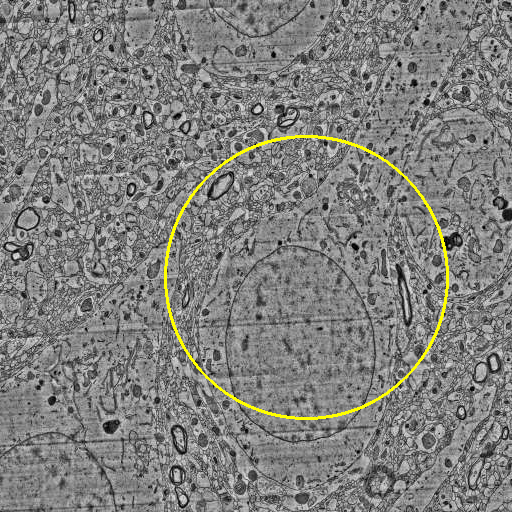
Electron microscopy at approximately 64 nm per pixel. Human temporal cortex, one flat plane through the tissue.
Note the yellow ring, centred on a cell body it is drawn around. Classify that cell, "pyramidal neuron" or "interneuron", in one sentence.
The cell the ring is centred on is a pyramidal neuron.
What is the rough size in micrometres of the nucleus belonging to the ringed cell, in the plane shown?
The ringed cell's nucleus measures approximately 12 by 10 micrometres in this plane.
